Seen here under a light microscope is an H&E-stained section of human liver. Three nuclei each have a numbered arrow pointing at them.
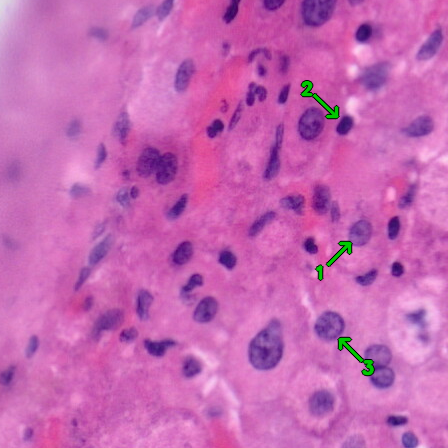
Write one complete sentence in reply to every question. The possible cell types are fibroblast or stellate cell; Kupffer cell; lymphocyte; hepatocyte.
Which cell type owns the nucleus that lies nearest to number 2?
Closest to number 2 lies the nucleus of a hepatocyte.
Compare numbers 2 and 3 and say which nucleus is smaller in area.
Nucleus 2 is the smaller one; nucleus 3 covers about 2 times its area.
